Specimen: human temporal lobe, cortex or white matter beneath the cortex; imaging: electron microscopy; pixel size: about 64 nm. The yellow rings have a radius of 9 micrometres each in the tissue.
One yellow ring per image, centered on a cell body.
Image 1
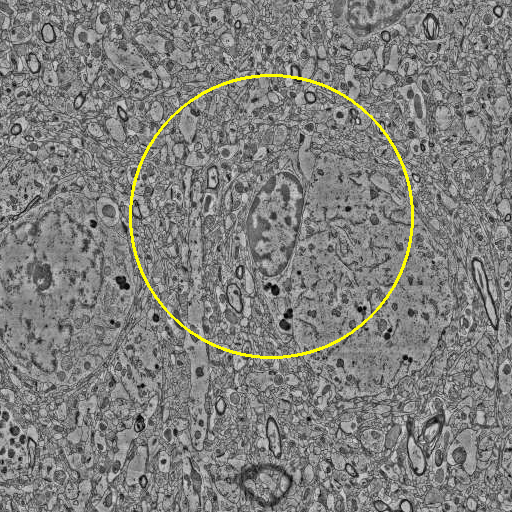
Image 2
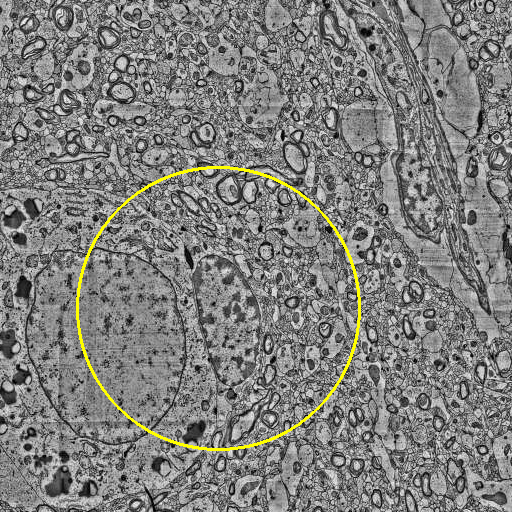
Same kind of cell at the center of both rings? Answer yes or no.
yes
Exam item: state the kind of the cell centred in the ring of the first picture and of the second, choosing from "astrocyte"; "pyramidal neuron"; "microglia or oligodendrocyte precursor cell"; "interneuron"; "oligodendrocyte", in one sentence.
Both cells are the same kind, each one being a microglial cell or oligodendrocyte precursor cell.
